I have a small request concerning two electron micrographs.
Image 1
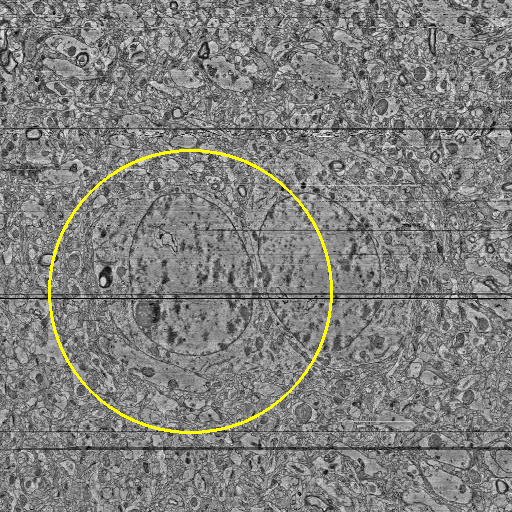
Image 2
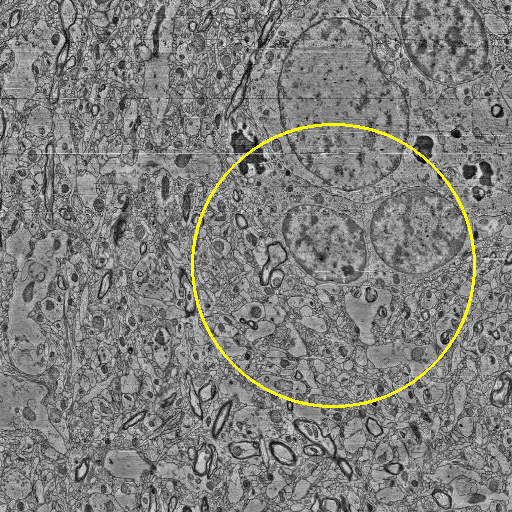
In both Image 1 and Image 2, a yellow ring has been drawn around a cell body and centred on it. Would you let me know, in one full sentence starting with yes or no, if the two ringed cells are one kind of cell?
No, the cells ringed in Image 1 and Image 2 are two kinds of cell.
